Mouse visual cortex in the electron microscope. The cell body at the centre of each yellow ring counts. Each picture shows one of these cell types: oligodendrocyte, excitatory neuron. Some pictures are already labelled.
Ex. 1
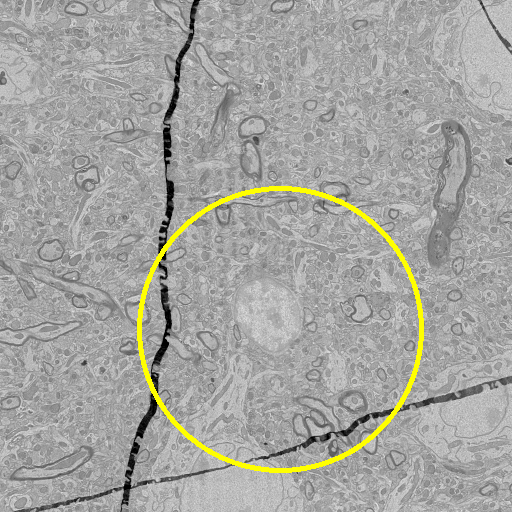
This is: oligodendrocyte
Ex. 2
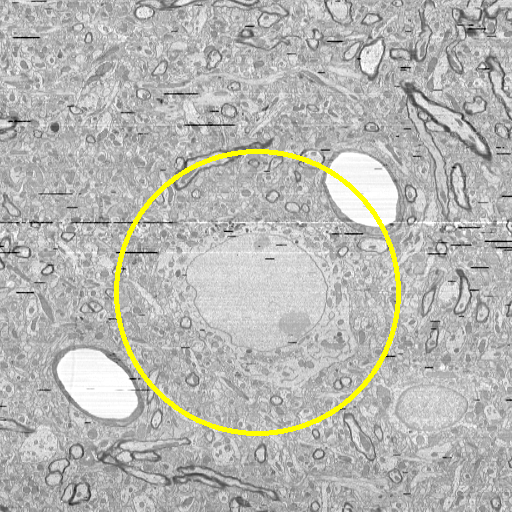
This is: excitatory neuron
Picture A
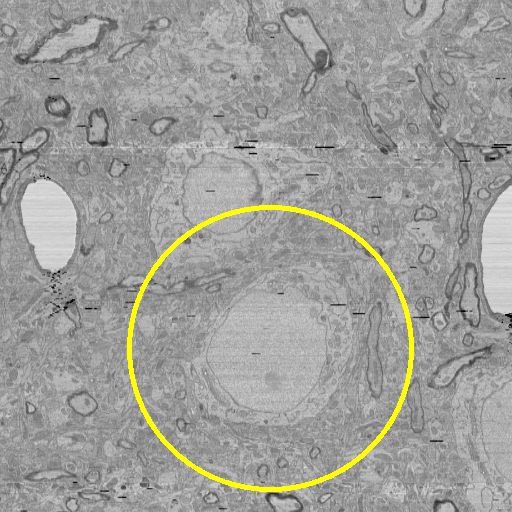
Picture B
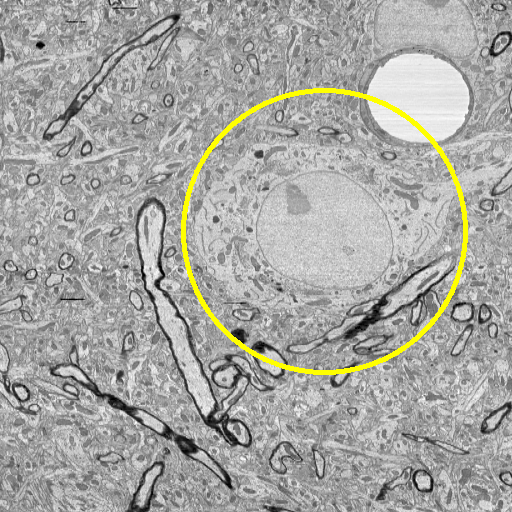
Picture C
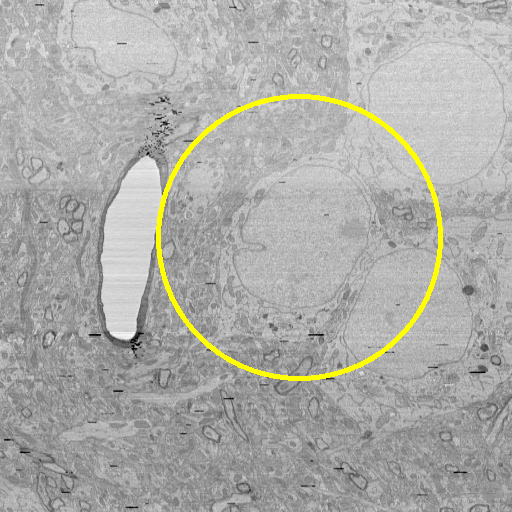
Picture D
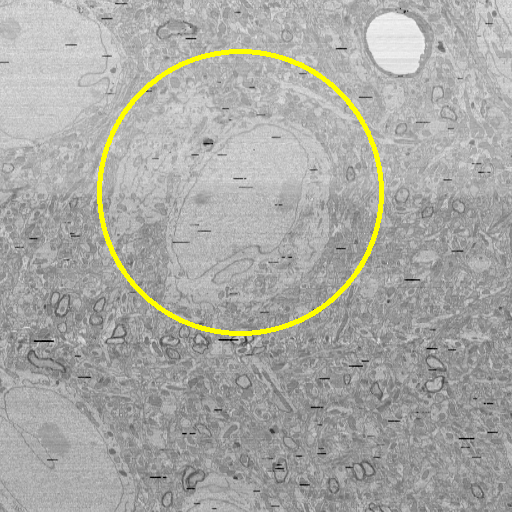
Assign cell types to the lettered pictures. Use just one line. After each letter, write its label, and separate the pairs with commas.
A excitatory neuron, B excitatory neuron, C excitatory neuron, D excitatory neuron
